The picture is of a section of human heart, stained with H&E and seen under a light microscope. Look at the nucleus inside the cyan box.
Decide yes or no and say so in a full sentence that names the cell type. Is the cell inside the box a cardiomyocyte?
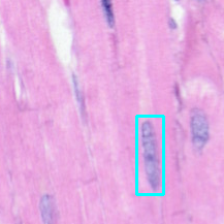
Yes, a cardiomyocyte is what the cell inside the box represents in this tissue.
